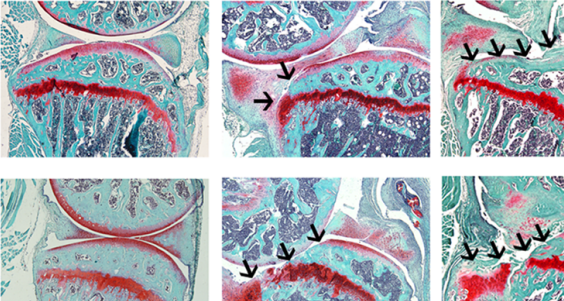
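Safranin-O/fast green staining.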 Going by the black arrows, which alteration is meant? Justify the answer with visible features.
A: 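The damaged region of the cartilage. The arrows point at the joint surface where the red-stained layer is thinned or lost. In the images without arrows the red-stained surface layer is smooth and continuous.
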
